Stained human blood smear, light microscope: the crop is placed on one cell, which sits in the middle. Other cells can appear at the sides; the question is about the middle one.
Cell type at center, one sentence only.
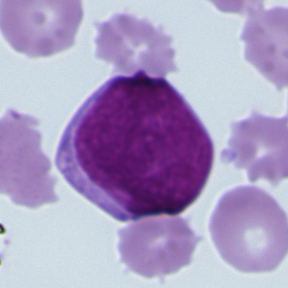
In the middle of this smear crop is a myeloblast.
